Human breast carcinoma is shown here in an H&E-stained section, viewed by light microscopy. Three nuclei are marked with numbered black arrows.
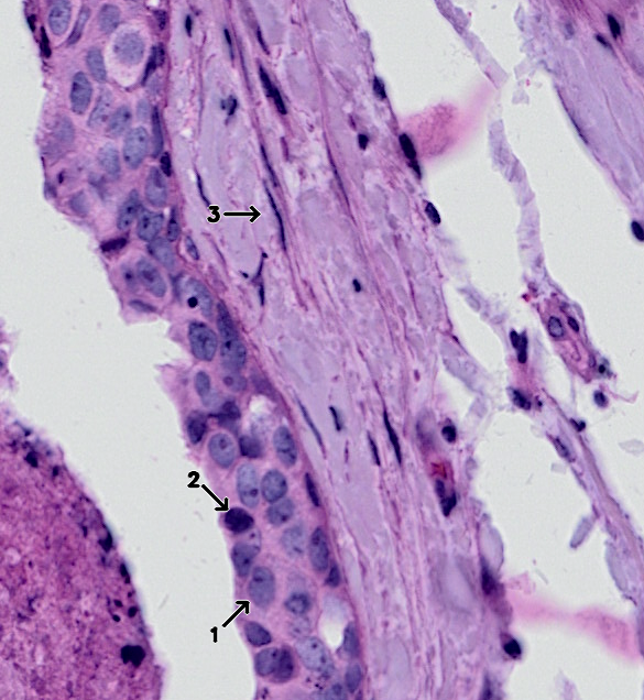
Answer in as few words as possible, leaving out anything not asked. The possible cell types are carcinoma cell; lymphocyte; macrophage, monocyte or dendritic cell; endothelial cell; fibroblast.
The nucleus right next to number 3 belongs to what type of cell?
fibroblast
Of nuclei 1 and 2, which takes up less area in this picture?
2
